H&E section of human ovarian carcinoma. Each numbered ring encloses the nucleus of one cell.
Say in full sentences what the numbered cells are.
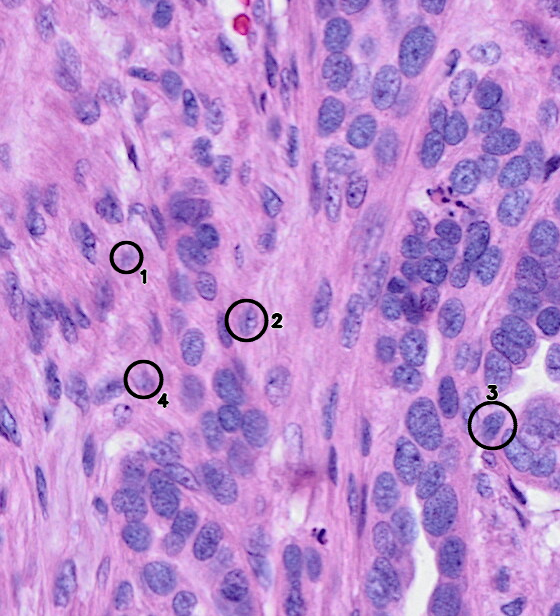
Cell 1 is a fibroblast, cell 2 is a fibroblast, cell 3 is a carcinoma cell and cell 4 is a fibroblast.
